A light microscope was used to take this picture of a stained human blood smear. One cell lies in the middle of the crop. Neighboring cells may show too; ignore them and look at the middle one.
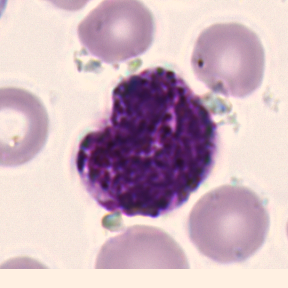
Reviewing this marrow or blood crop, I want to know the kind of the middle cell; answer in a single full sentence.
The crop centres on a single cell, and that cell is a basophil.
